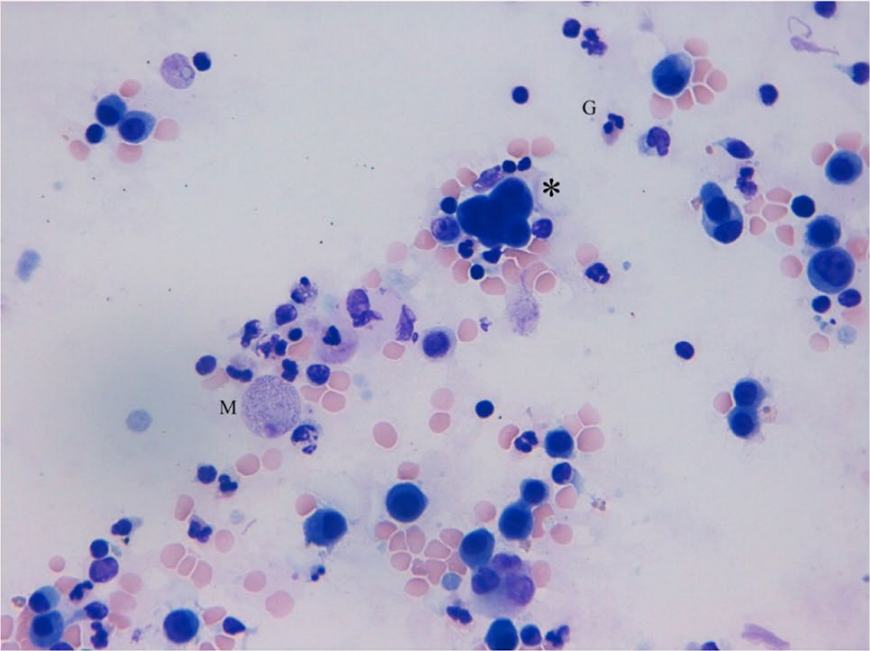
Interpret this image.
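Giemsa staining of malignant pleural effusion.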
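The carcinoma cells are far larger than the surrounding cells, with big dark nuclei and deep blue cytoplasm, and crowd together in a clump. A large rounded macrophage with pale, finely vacuolated purple cytoplasm and granulocytes with lobed nuclei lie nearby.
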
